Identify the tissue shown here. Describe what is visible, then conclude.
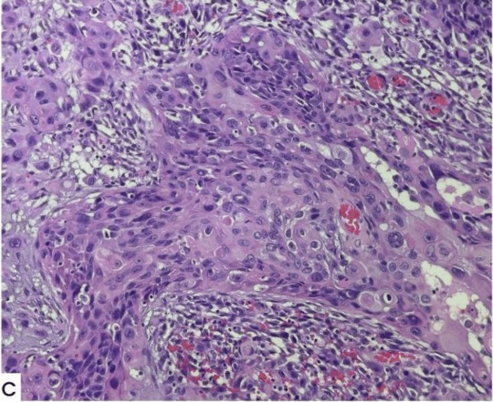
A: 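Nests and cords of polygonal cells with pink cytoplasm. Cells are cohesive with distinct borders, set in a stroma of spindled cells. Some cells have glassy pink cytoplasm as in keratinization.
Answer: Squamous cell component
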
